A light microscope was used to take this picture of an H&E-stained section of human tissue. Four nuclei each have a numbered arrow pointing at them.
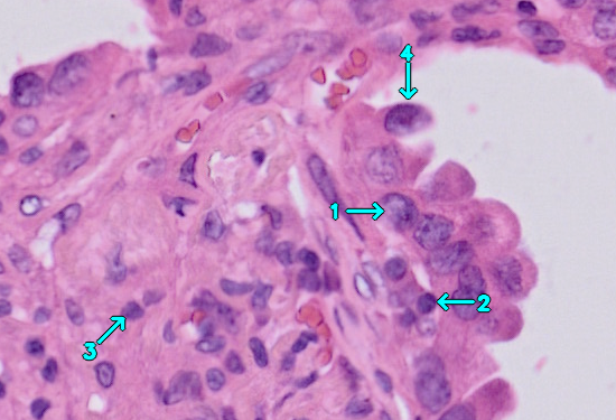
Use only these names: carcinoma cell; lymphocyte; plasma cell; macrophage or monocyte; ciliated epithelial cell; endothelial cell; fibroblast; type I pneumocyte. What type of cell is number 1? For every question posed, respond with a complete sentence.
The marked cell with the number 1 is recognised as a carcinoma cell.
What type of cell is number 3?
In this section, the cell tagged 3 is a lymphocyte.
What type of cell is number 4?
The numeral 4 marks a carcinoma cell in this section.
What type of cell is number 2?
The cell that carries the label 2 is a lymphocyte.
